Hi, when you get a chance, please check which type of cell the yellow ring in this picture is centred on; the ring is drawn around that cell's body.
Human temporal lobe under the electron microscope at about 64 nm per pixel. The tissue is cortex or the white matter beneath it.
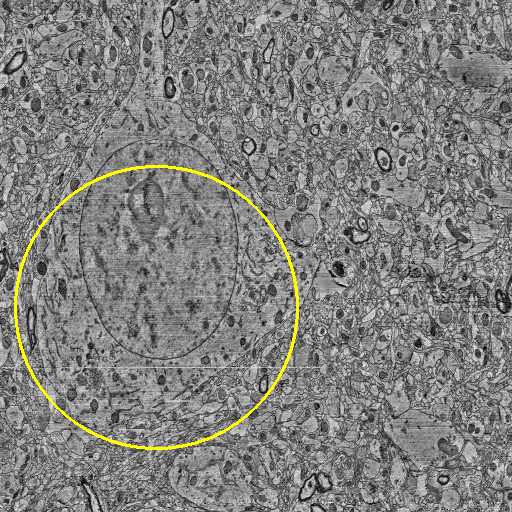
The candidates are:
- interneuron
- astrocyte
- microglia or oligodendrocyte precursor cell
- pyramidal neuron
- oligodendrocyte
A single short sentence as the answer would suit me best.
The ring is drawn around the body of a pyramidal neuron.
